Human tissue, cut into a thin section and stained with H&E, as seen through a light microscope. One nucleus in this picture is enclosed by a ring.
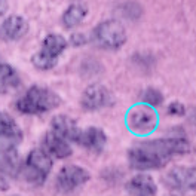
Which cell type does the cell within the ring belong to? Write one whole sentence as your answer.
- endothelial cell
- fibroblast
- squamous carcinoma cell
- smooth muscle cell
By cell type, the cell within the ring is a squamous carcinoma cell.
